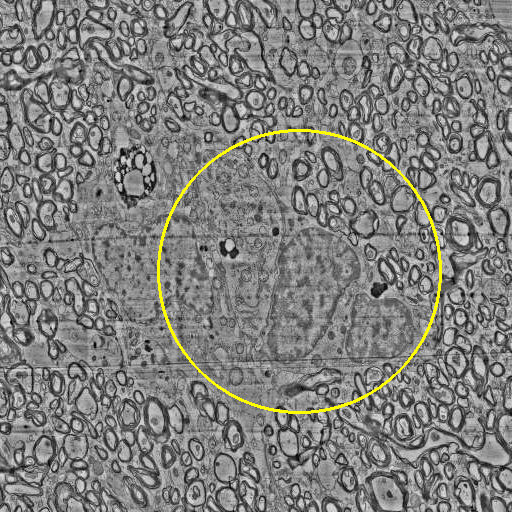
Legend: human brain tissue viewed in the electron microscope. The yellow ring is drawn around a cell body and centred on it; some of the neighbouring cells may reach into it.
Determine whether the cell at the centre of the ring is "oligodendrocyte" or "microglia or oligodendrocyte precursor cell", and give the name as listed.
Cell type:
oligodendrocyte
